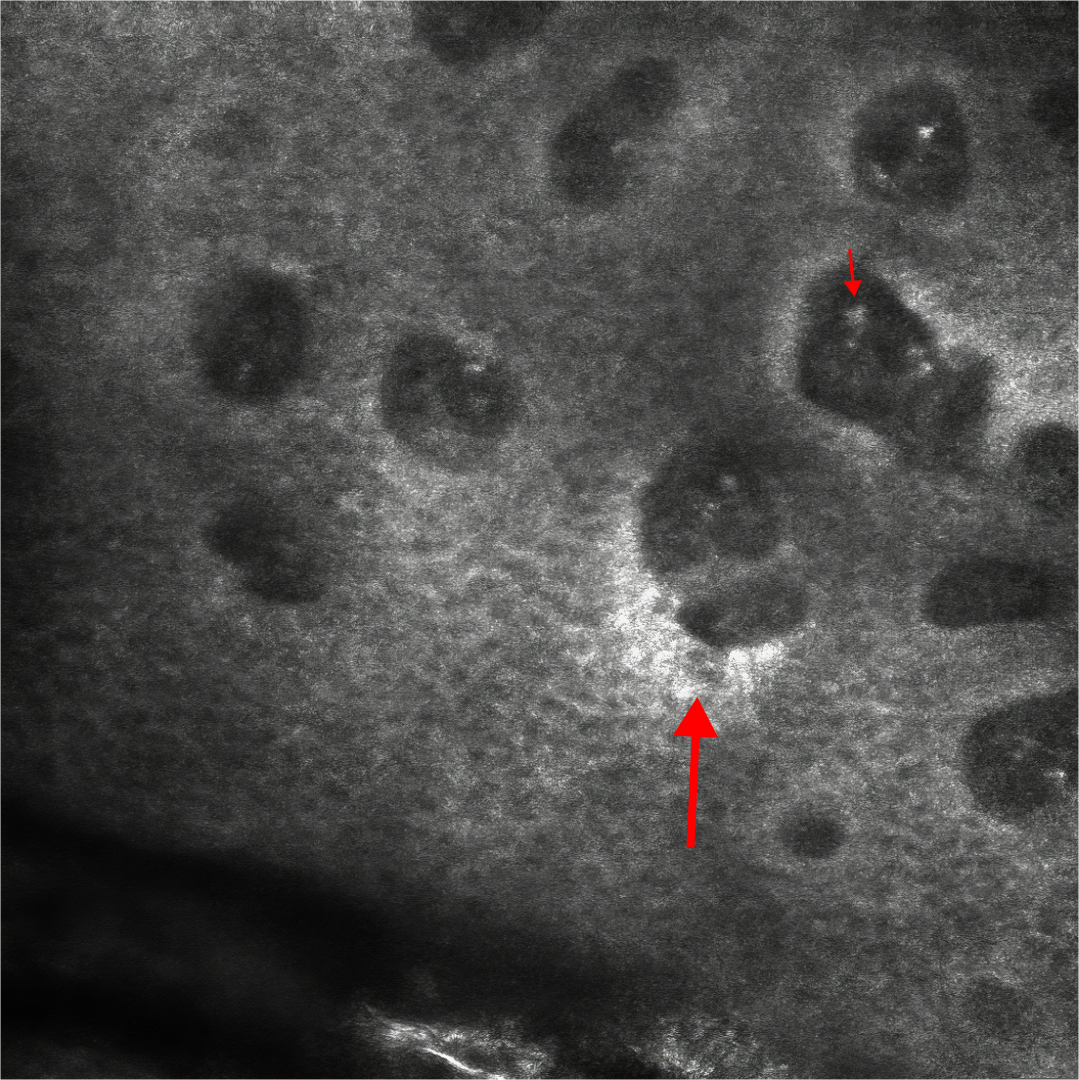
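En face reflectance image of skin at the level of the dermal papillae. The papillae appear as dark round, oval or elongated areas, set in brighter, finely granular surrounding tissue. Several papillae contain small bright dots or specks within their dark centres. Near the lower middle of the field there is a brighter, more reflective patch bordering a papilla. The lower left corner is dark and out of the imaged plane, and a few bright thin fibres cross the bottom edge.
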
